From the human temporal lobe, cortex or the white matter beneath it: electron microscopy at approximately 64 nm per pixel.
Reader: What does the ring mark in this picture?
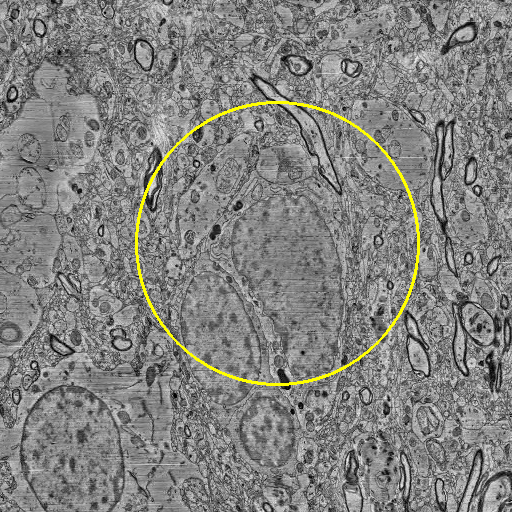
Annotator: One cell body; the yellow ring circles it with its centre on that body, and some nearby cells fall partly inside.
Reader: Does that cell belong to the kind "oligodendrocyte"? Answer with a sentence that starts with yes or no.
No, the cell at the ring's centre in this picture is of another kind.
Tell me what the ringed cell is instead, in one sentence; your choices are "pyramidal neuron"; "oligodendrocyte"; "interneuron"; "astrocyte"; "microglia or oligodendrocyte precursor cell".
The cell that the ring is centred on is an interneuron.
